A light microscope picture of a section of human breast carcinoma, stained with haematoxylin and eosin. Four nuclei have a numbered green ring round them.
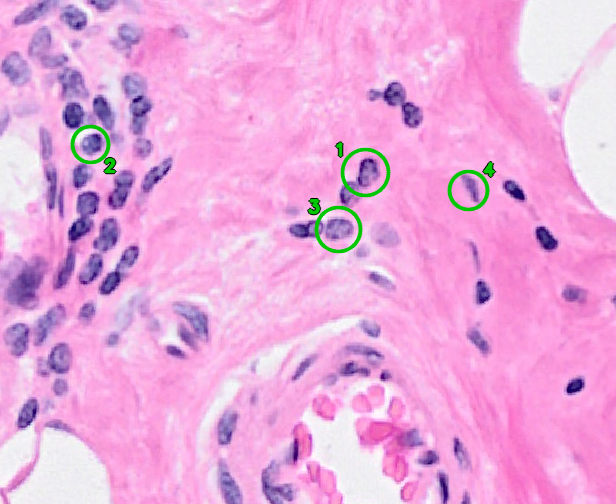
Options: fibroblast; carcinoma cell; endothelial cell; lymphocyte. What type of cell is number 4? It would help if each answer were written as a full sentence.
The mark numbered 4 indicates the nucleus of a fibroblast.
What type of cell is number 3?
The cell numbered 3 represents a lymphocyte.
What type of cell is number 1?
The correct label for cell 1 is a lymphocyte.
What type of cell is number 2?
The marked cell with the number 2 is recognised as a lymphocyte.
